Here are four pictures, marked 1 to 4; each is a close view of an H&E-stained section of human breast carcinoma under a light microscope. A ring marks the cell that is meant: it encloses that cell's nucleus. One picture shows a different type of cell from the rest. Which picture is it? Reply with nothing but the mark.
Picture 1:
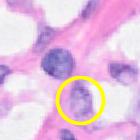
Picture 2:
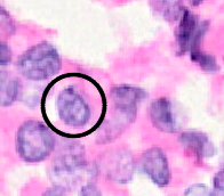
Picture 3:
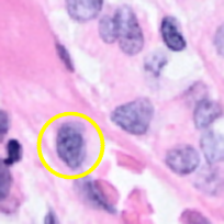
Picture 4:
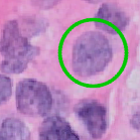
3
